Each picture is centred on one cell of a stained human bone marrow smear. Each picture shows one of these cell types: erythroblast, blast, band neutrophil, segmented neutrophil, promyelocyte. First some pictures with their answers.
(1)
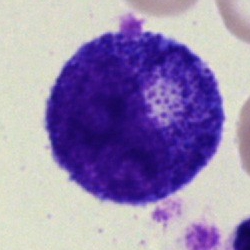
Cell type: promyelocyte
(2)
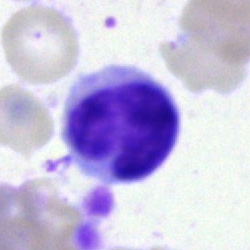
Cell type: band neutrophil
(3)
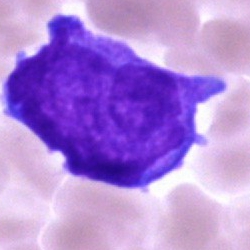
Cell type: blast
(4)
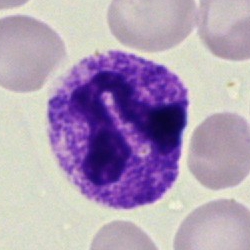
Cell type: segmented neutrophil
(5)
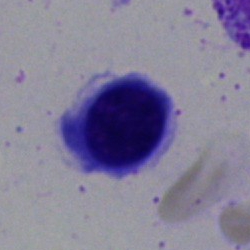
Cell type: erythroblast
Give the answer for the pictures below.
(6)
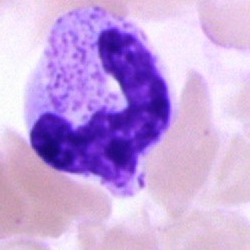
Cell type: segmented neutrophil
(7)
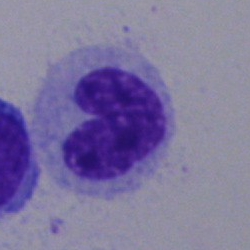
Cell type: band neutrophil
